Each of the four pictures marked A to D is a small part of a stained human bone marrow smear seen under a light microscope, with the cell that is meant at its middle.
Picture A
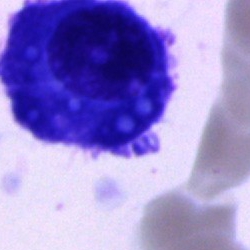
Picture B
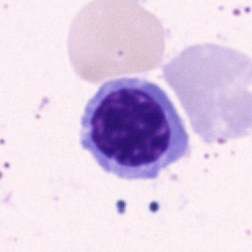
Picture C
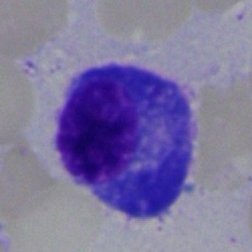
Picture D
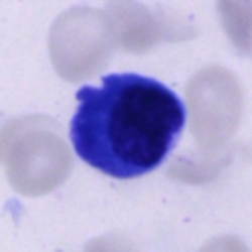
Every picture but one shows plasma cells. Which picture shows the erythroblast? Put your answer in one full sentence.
Picture B shows the erythroblast.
